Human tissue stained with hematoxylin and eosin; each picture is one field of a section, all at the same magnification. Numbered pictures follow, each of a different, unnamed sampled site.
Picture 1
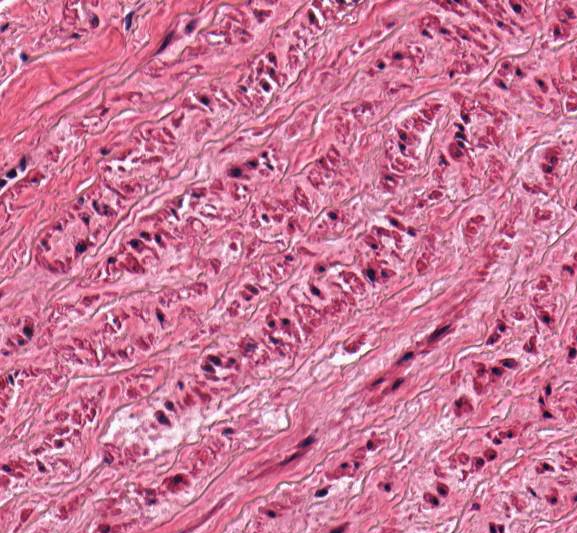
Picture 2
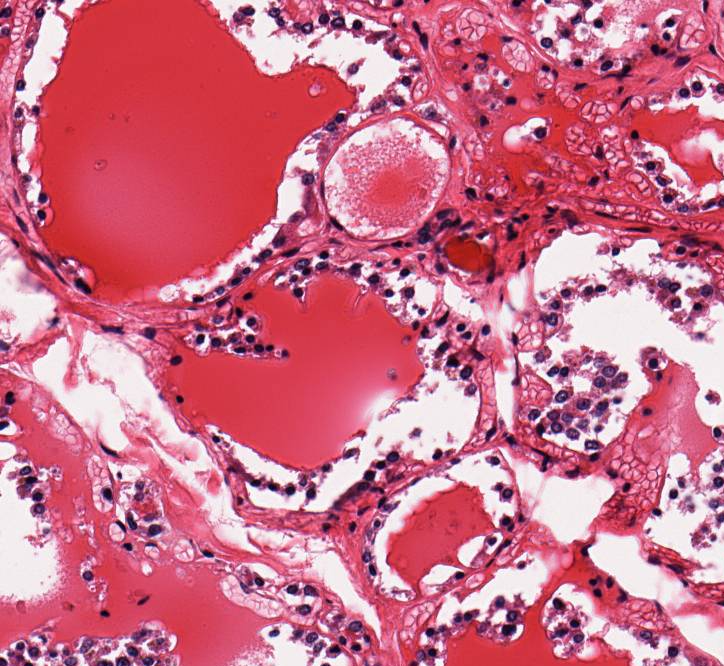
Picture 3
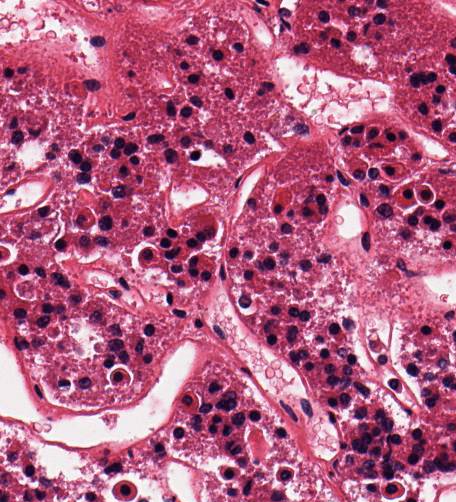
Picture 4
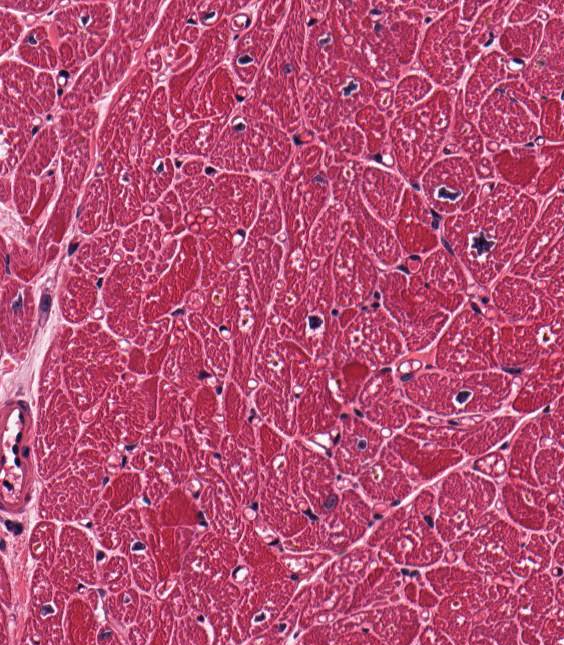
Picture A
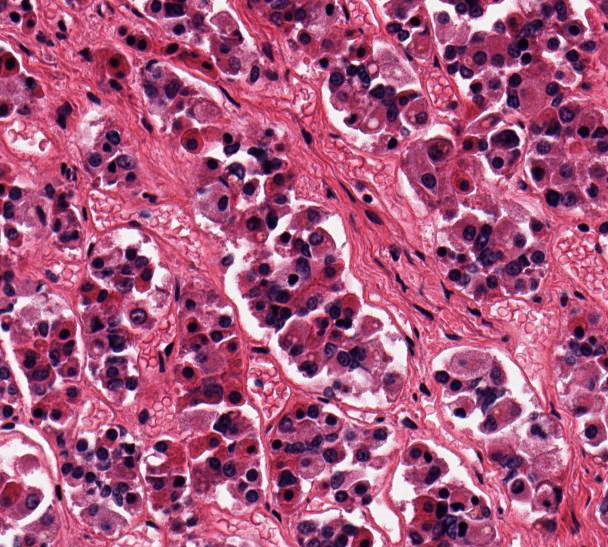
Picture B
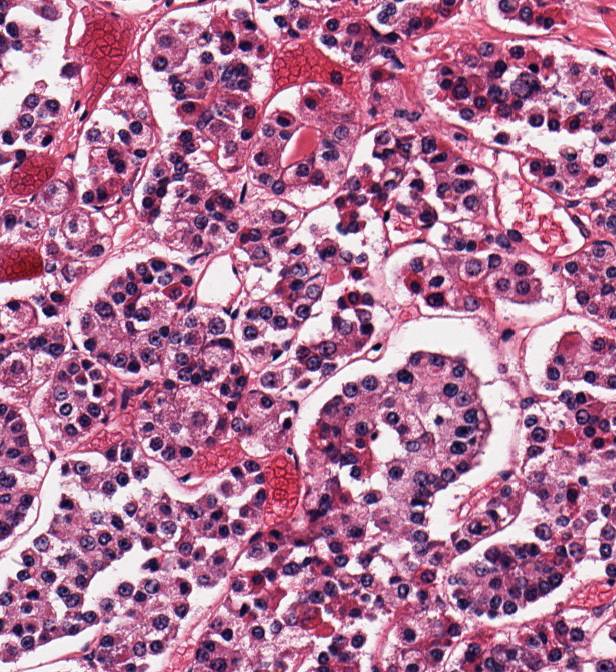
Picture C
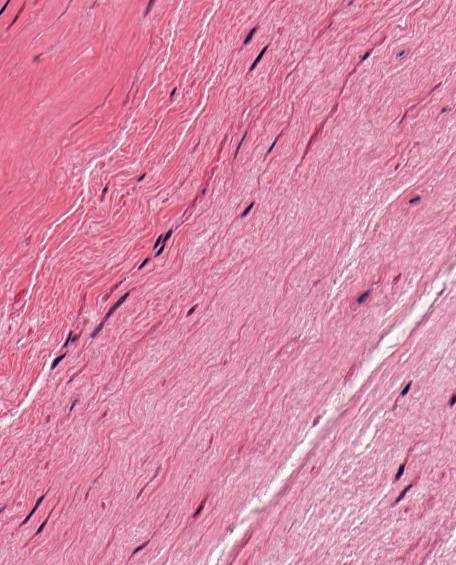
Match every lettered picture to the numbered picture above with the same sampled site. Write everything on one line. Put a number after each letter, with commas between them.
A 3, B 3, C 1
